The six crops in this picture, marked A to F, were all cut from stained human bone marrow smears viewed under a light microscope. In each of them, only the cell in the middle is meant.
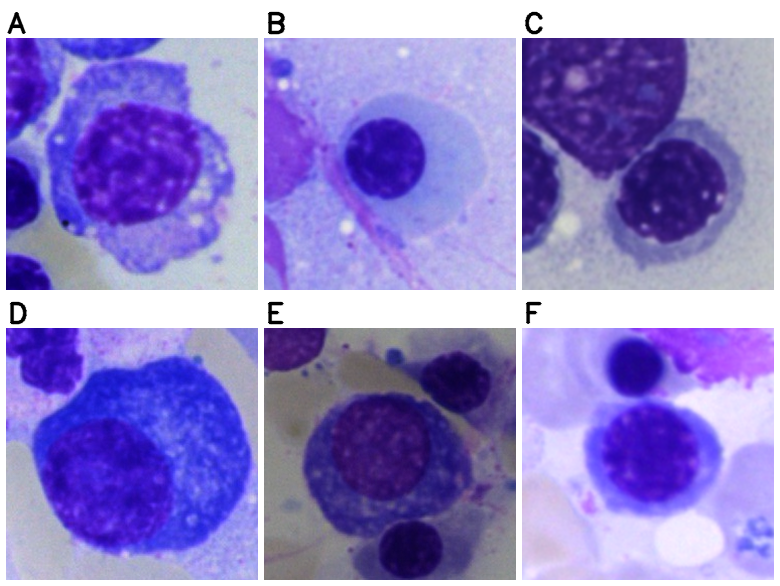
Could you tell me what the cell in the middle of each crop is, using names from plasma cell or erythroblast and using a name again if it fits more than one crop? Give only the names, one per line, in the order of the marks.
plasma cell
erythroblast
erythroblast
plasma cell
plasma cell
erythroblast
